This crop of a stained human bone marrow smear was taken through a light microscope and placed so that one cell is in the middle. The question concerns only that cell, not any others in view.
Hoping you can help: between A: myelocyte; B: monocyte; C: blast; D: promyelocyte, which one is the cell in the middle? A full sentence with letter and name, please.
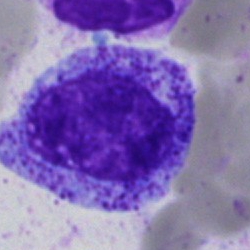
Here the right option is A, as the cell in the middle is a myelocyte.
